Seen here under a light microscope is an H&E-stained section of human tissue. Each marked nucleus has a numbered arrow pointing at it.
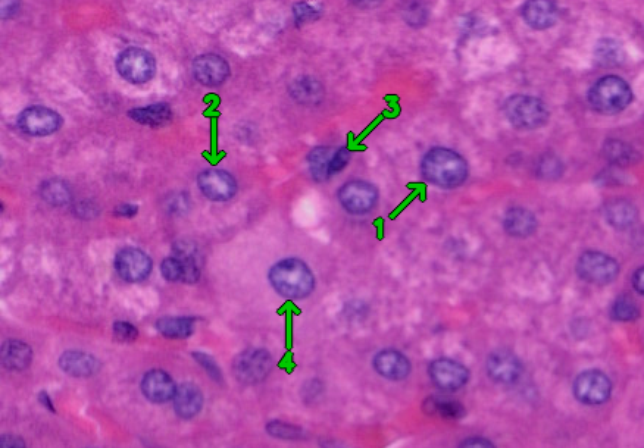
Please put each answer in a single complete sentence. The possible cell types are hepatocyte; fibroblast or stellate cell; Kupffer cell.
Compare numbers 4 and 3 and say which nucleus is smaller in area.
Nucleus 3 covers less area, with nucleus 4 about 2.5 times as large.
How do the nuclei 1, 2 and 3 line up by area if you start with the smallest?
The order from the smallest nucleus to the largest is 3, 2, 1.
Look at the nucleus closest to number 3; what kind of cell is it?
Number 3 lies closest to the nucleus of a Kupffer cell.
